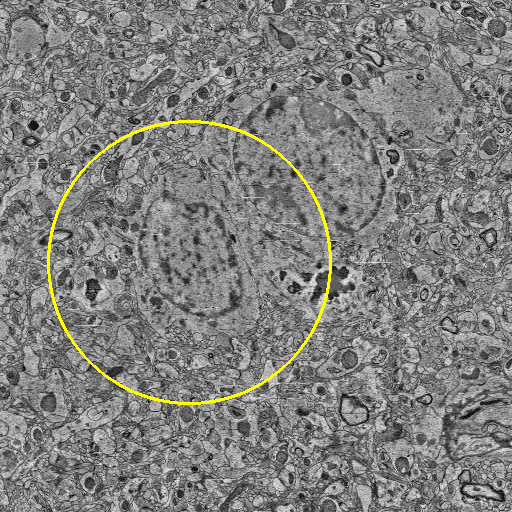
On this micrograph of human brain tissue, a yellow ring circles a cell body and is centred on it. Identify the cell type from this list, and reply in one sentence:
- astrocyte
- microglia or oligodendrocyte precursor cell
The cell at the centre is an astrocyte.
